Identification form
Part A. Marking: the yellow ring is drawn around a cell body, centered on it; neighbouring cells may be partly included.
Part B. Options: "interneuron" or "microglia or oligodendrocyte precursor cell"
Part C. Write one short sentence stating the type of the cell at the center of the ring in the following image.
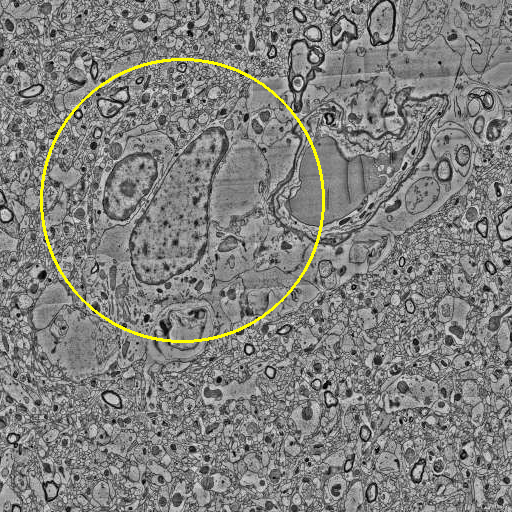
The center of the ring holds a microglial cell or oligodendrocyte precursor cell.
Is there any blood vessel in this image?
Yes, there is a blood vessel in the image.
